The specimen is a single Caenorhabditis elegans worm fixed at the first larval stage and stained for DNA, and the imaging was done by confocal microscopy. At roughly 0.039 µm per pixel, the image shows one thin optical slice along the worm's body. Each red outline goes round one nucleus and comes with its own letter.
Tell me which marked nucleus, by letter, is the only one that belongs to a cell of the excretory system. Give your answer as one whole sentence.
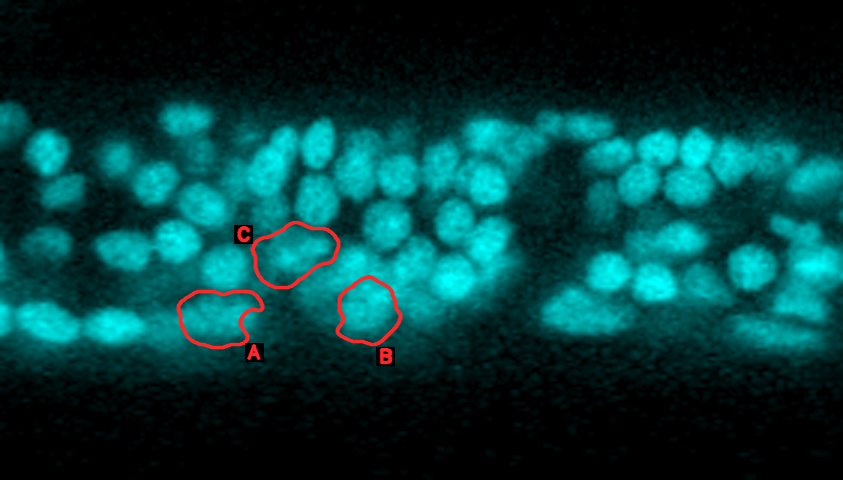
Of the marked nuclei, C is the one in a cell of the excretory system.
